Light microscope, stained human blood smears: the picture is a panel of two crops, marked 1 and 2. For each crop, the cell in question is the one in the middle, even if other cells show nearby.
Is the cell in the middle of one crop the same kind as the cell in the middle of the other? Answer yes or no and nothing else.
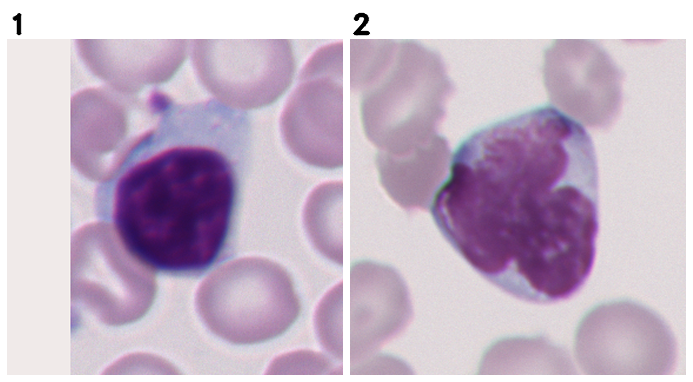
yes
